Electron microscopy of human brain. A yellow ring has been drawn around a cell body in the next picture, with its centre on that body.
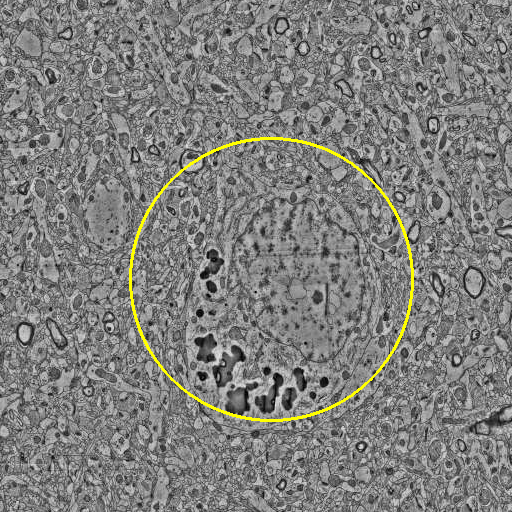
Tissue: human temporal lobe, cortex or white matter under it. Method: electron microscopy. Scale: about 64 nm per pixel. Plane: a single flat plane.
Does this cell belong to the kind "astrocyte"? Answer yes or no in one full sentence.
No, the ringed cell in this picture, sitting at the ring's centre, is of another kind.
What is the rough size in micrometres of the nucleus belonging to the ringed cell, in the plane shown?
Roughly 9 micrometers across in this plane.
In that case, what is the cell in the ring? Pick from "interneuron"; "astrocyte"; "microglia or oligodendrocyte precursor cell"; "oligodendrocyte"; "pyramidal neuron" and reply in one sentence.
The ring holds an interneuron at its centre.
